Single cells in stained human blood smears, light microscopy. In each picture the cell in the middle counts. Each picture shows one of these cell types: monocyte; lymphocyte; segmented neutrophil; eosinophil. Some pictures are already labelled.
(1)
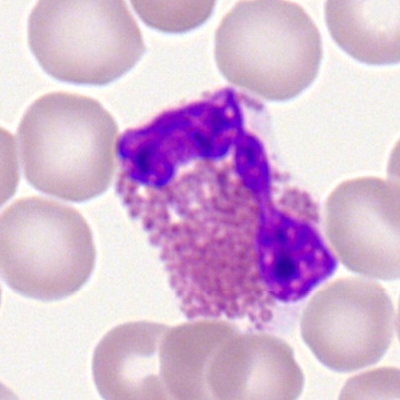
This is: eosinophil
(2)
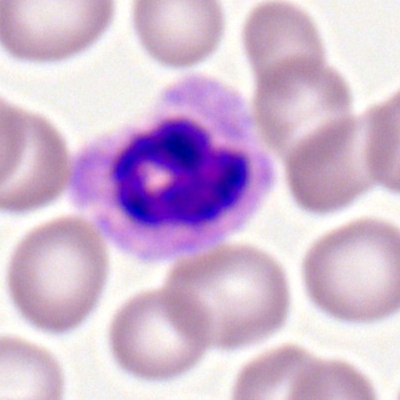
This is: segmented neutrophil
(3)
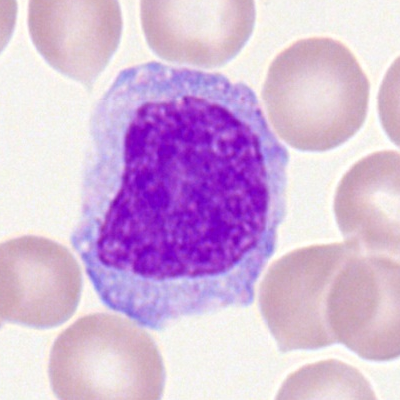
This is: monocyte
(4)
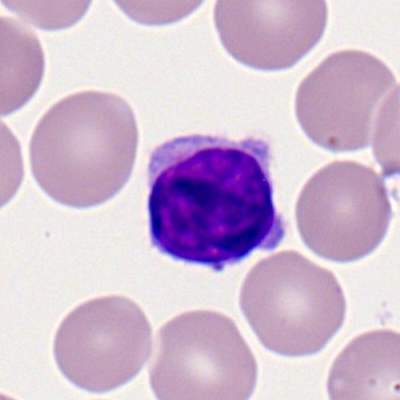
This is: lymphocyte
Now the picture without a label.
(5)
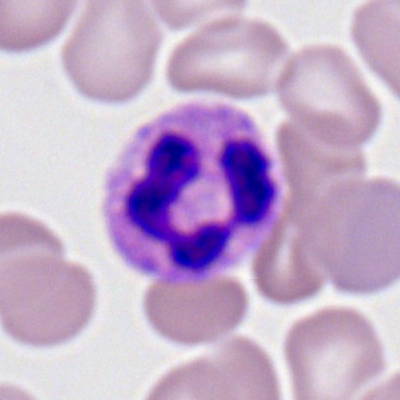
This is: segmented neutrophil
